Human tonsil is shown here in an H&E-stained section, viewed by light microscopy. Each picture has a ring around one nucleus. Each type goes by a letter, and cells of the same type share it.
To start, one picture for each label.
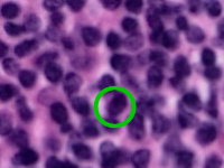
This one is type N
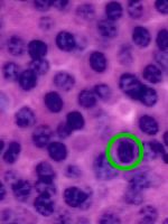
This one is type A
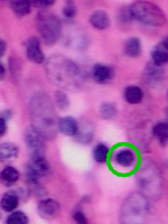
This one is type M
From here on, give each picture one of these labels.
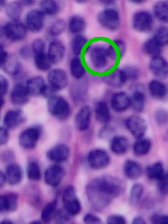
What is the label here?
type N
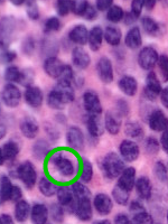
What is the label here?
type N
